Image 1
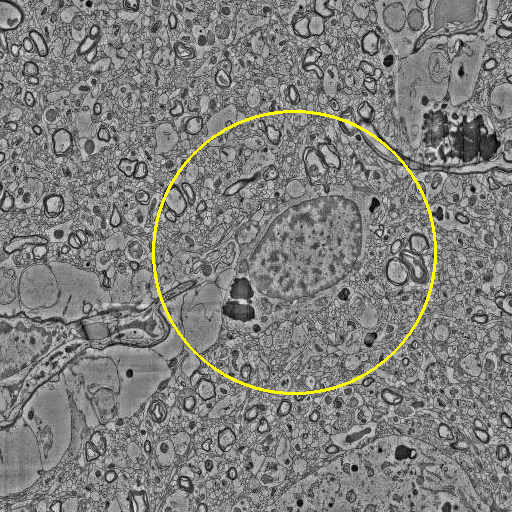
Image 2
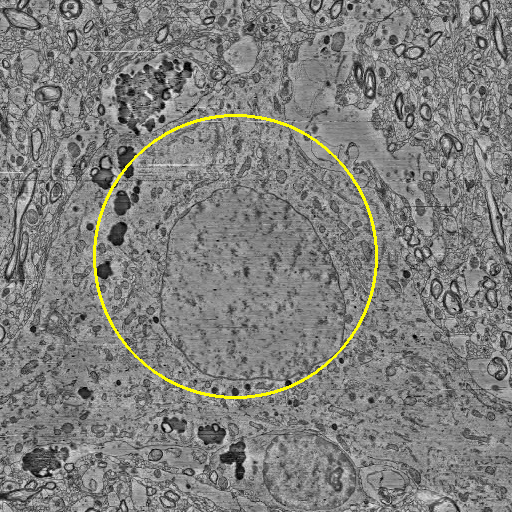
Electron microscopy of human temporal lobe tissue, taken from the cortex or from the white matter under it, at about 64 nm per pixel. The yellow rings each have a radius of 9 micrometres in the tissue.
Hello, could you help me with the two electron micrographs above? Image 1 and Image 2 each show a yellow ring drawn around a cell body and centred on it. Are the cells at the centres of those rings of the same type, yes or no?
no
